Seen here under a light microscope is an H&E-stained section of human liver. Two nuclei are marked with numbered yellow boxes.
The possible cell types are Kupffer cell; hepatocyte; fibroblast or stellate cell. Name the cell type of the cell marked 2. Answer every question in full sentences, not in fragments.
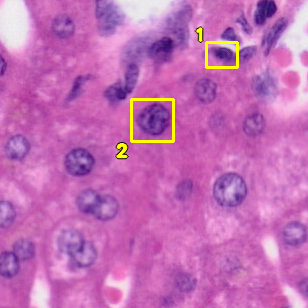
The cell that bears the number 2 is a hepatocyte.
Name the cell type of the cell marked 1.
The nucleus with number 1 is that of a fibroblast or stellate cell.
